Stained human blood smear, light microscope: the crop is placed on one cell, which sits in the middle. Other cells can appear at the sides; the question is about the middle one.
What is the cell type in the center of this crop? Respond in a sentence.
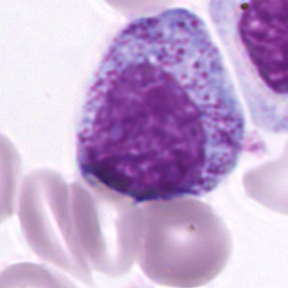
The central cell, amid any neighbouring cells, is a promyelocyte.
